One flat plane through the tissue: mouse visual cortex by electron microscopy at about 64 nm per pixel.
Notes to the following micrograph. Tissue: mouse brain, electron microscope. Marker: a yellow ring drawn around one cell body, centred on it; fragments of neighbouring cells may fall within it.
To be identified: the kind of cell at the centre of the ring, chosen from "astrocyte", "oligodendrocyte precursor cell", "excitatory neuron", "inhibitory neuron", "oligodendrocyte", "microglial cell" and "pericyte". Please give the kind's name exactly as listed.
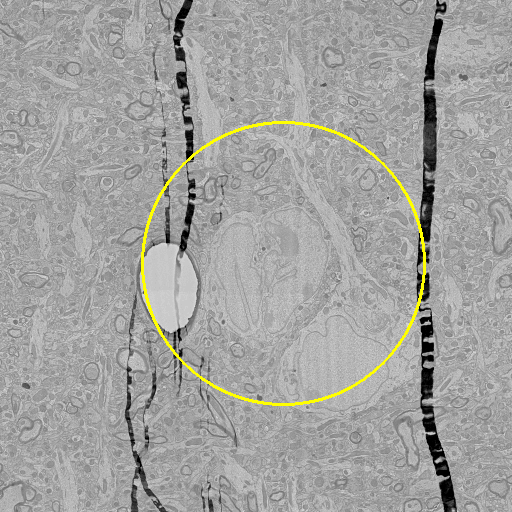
oligodendrocyte precursor cell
